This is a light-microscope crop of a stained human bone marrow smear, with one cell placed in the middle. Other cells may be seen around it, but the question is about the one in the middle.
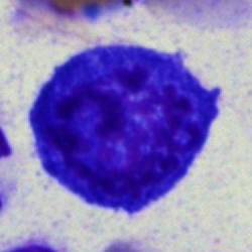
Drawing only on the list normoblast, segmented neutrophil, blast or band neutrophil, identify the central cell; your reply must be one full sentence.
In the center of this field lies a normoblast.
